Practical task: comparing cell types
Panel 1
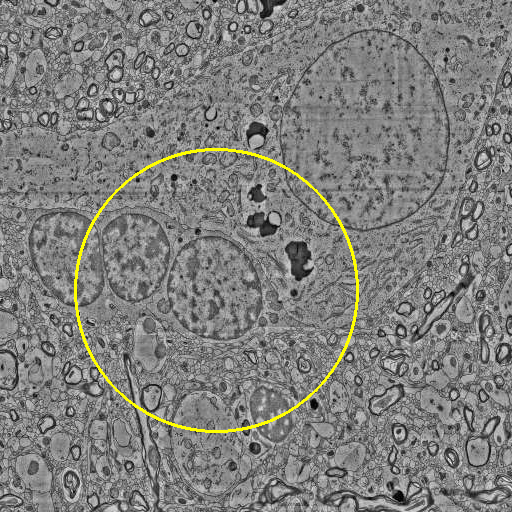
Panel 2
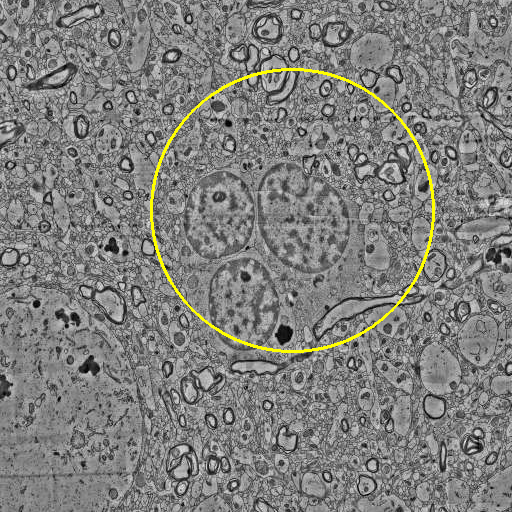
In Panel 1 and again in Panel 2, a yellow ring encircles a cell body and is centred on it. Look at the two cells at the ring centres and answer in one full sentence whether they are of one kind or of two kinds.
The two cells sitting at the ring centres of Panels 1 and 2 are of one kind.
